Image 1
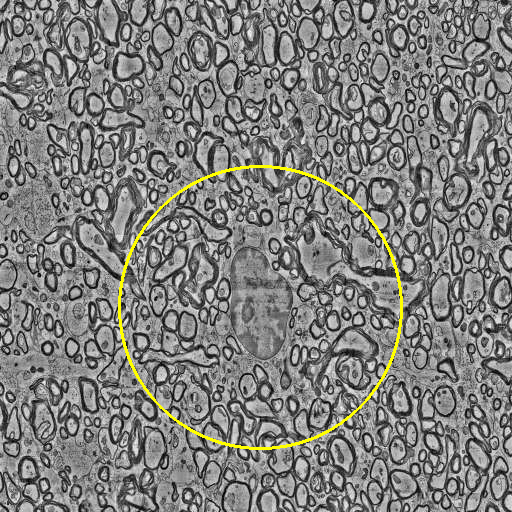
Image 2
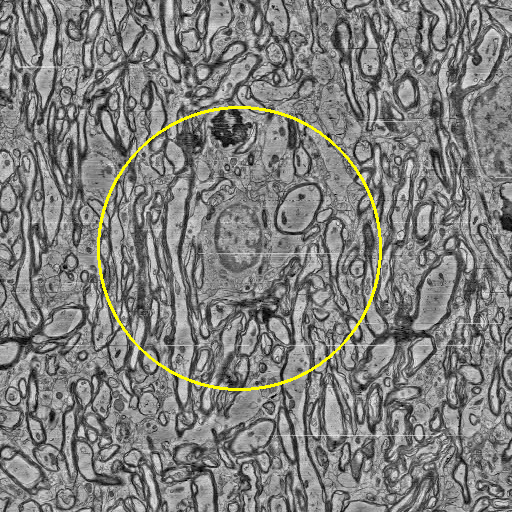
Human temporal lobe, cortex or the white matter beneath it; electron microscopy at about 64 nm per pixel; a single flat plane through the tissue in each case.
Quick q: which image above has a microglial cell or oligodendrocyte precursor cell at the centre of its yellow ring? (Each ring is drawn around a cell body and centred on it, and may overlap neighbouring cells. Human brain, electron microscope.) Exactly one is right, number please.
1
